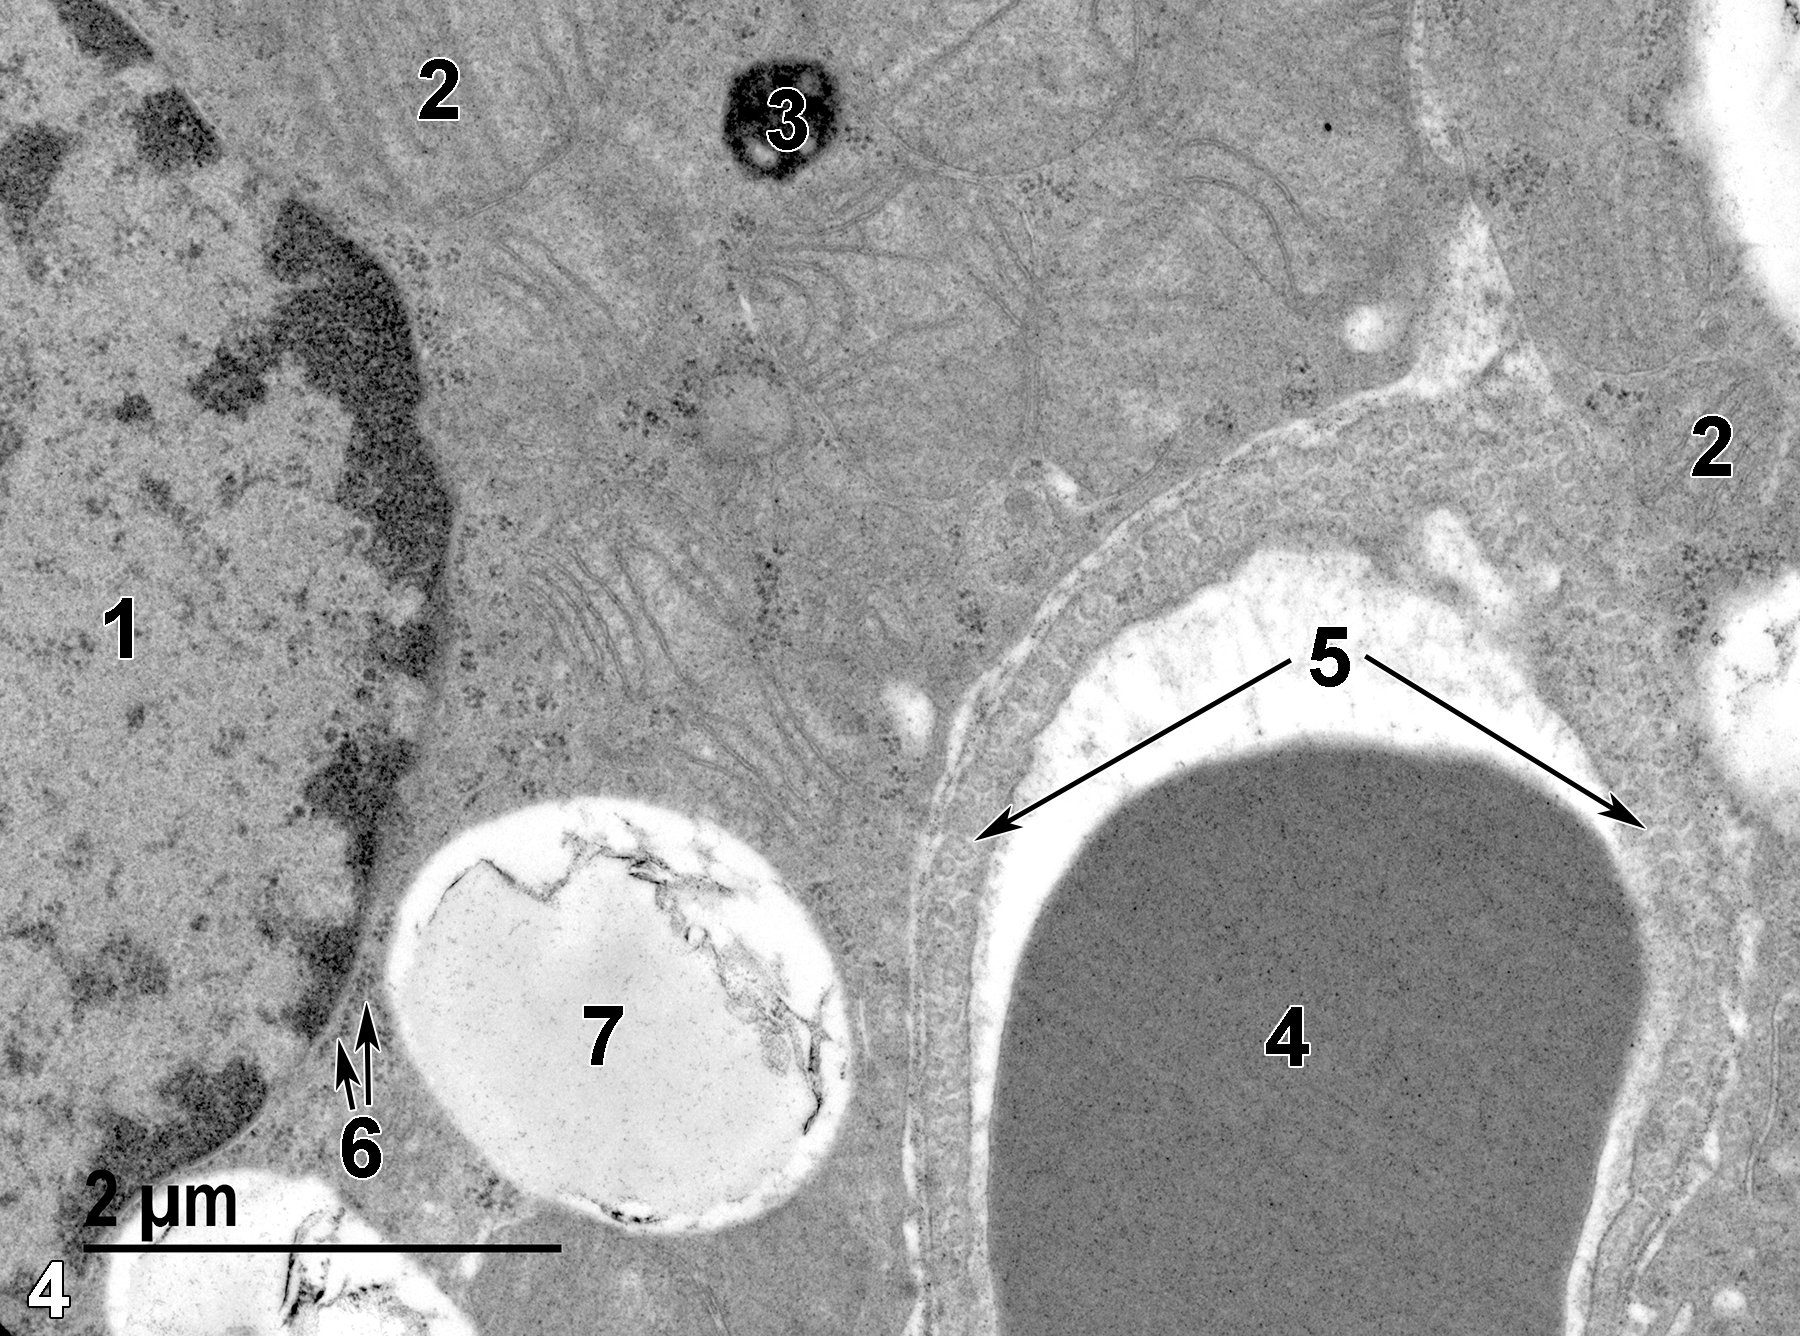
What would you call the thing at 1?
Chief cell nucleus.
